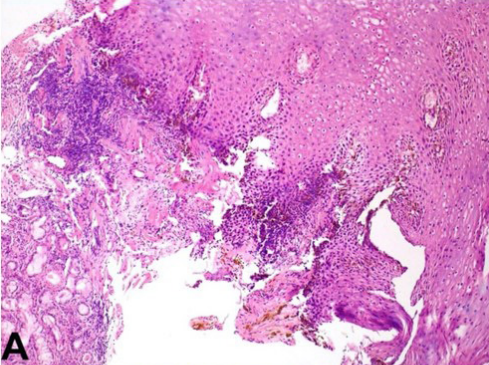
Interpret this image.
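This section shows the junction of a glandular mucosa and a thick stratified squamous epithelium. At the lower left, round and tubular gland profiles lined by a single layer of epithelium sit in a loose stroma. Most of the field is taken up by a thickened layered squamous epithelium, whose cells are small and crowded at the base and become larger and flatter towards the surface. Stromal papillae with small vessels reach up into the epithelium. Granular brown-black pigment lies in the lower part of the epithelium, and a dense band of dark-blue inflammatory cells runs along the junction of the two tissues.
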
